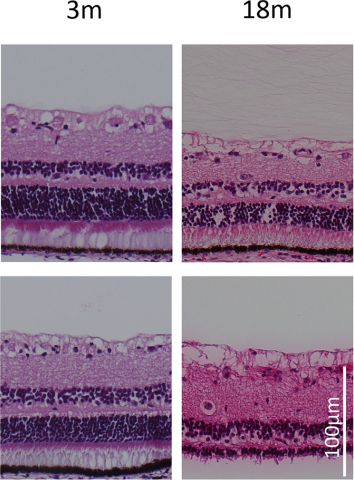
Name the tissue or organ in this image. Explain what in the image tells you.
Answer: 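Stacked parallel layers of purple nuclei alternate with pale pink fibrous layers. Scattered larger nuclei lie near the top surface beneath a thin fibre layer. That points to this answer: retina.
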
